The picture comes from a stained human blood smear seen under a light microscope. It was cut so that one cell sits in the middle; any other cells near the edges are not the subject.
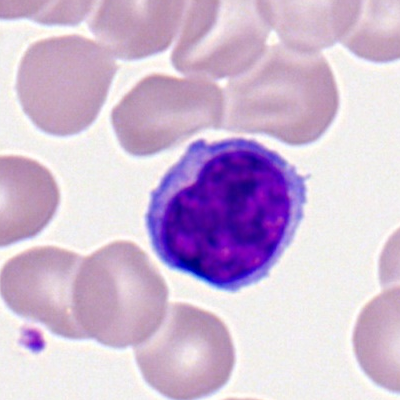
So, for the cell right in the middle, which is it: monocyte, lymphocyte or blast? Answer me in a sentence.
Occupying the centre of the crop is a lymphocyte.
